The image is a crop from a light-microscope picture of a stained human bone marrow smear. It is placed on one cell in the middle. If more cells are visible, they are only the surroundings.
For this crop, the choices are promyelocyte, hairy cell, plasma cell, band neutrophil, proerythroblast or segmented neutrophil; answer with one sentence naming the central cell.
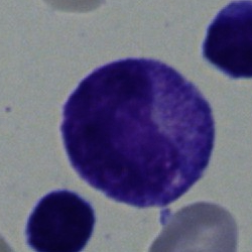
Among the cells in view, the one in the middle is a promyelocyte.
